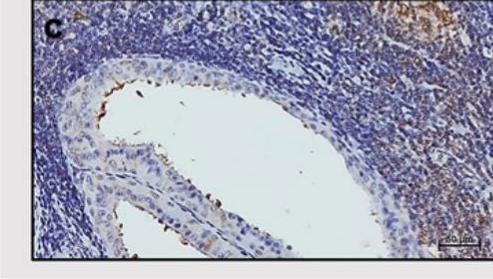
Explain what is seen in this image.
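This is a Warthin’s tumor of salivary gland: a large empty cystic space lined by a thin epithelial layer, set in dense lymphoid tissue. The lymphoid tissue is made of crowded small round cells with dark blue nuclei, and in one corner it holds a patch of brown-stained cells. The lining epithelium shows paler cells, with brown granules along its luminal surface.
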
